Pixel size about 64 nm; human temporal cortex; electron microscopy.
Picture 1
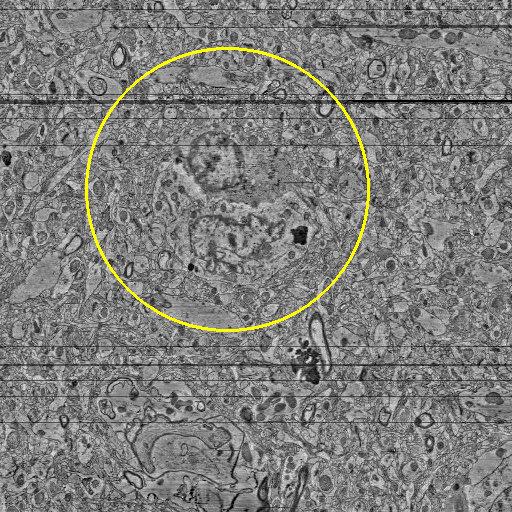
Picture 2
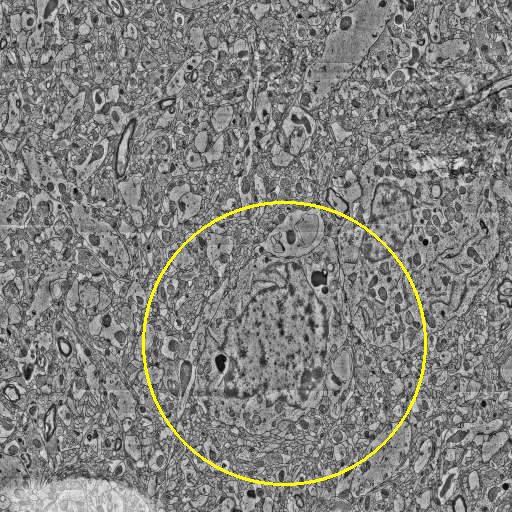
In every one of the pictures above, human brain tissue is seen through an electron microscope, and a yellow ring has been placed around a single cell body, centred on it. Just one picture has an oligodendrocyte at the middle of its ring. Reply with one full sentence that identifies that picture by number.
It is picture 1 that shows the wanted cell at its ring's centre.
